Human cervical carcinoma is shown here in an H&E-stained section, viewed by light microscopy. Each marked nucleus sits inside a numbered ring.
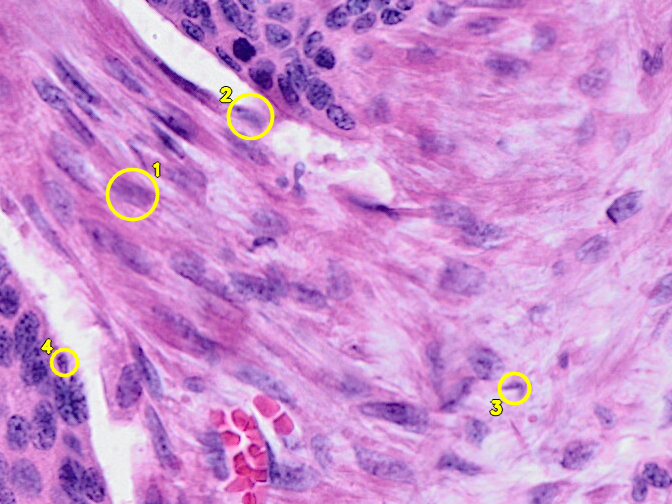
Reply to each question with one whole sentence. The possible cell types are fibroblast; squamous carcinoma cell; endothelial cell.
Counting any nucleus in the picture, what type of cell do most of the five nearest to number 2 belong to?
Around number 2, most of the five nearest nuclei are those of squamous carcinoma cells.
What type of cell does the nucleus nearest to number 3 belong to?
Closest to number 3 lies the nucleus of a fibroblast.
